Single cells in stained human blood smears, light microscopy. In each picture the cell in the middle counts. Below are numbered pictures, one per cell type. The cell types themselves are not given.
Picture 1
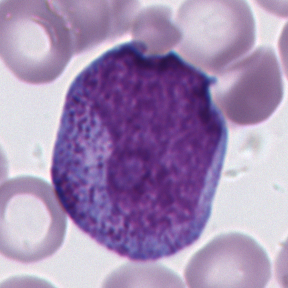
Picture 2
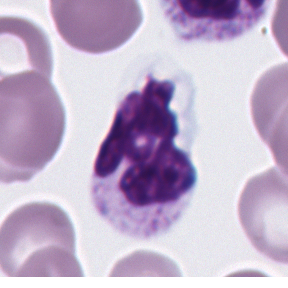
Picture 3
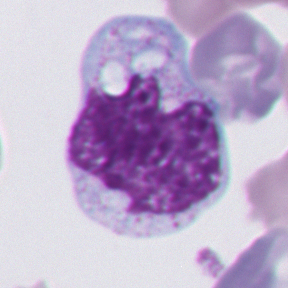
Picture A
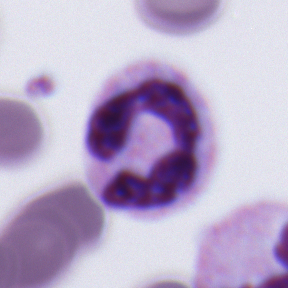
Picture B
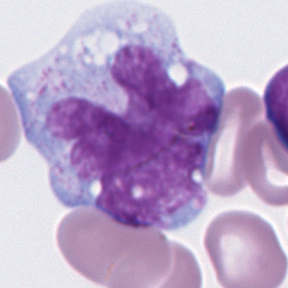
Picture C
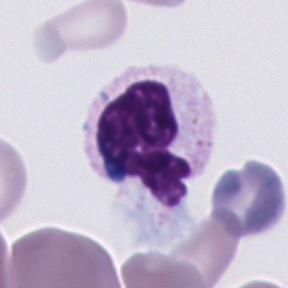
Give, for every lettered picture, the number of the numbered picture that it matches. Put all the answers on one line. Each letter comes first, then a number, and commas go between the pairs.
A 2, B 3, C 2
